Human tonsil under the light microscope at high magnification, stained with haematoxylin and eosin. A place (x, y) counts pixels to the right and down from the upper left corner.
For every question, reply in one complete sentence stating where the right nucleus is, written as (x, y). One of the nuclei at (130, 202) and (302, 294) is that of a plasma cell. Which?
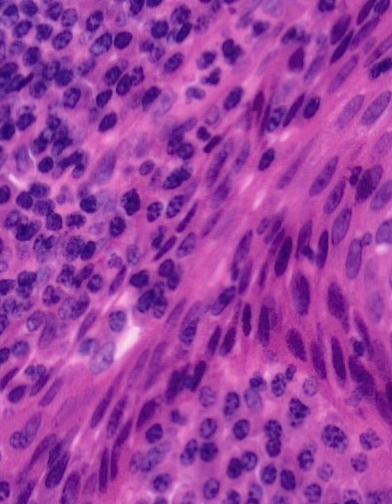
Belonging to a plasma cell is the nucleus at (130, 202).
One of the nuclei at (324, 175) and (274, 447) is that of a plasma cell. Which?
Of the two nuclei present, the one at (274, 447) is within a plasma cell.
